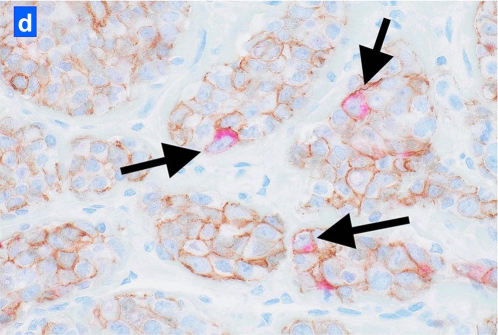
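Small nests of tumor cells lie in a pale fibrous stroma, each cell outlined by a thin brown line at its membrane, giving a honeycomb pattern. The nuclei are round to oval and pale blue. In a few scattered cells a bright red deposit fills part of the cytoplasm and is bordered by the brown membrane line.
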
